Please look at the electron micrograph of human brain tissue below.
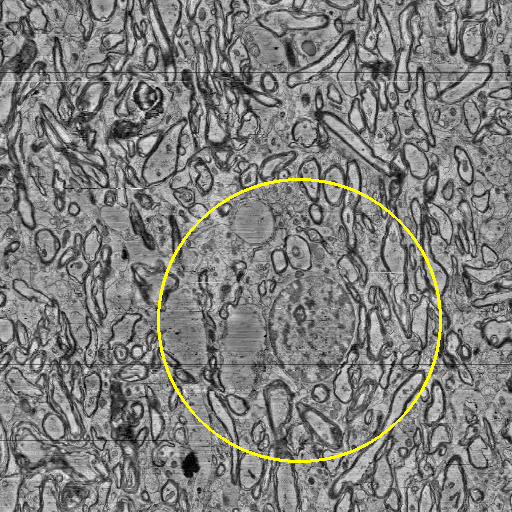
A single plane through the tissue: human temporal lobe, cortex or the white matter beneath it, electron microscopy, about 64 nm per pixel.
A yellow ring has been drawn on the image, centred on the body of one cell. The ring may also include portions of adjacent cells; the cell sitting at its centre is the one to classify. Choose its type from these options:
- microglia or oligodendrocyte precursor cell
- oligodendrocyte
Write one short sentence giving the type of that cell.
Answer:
The cell in the middle of the ring is an oligodendrocyte.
